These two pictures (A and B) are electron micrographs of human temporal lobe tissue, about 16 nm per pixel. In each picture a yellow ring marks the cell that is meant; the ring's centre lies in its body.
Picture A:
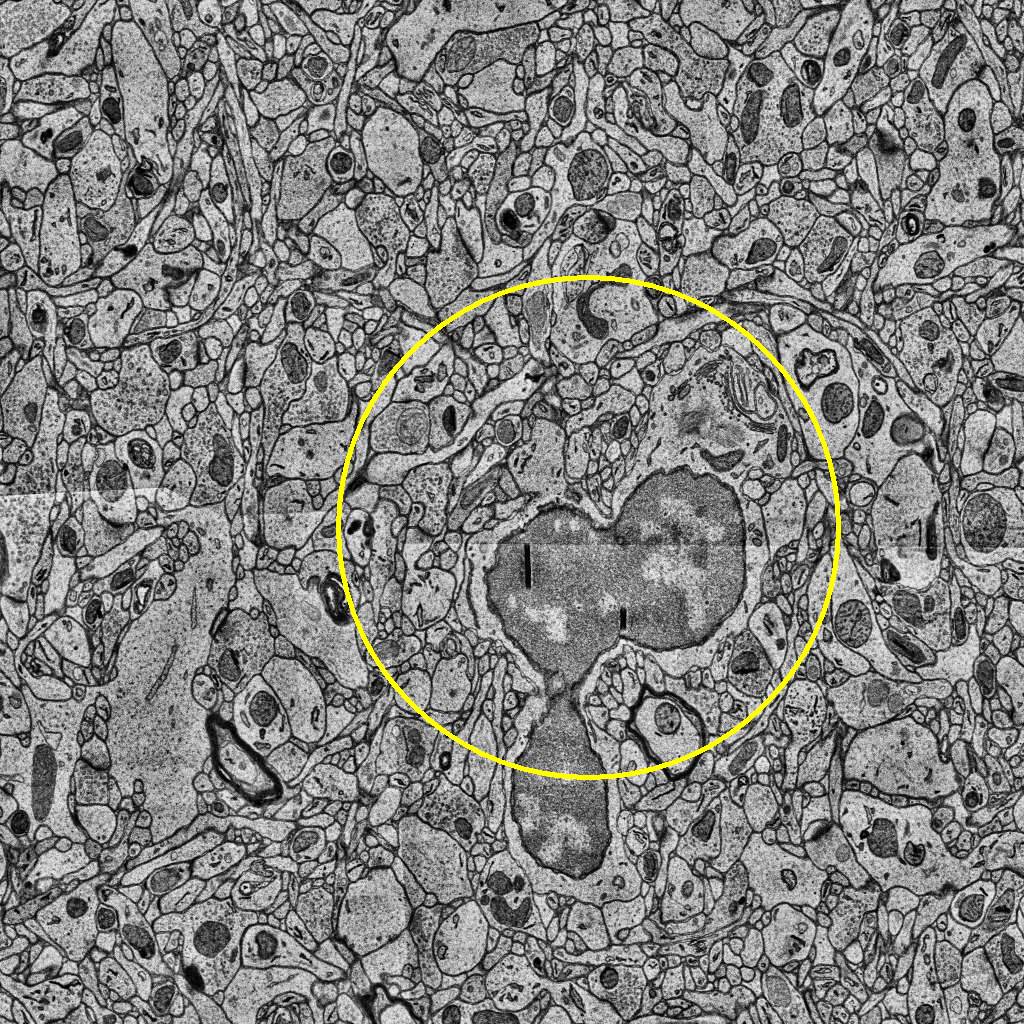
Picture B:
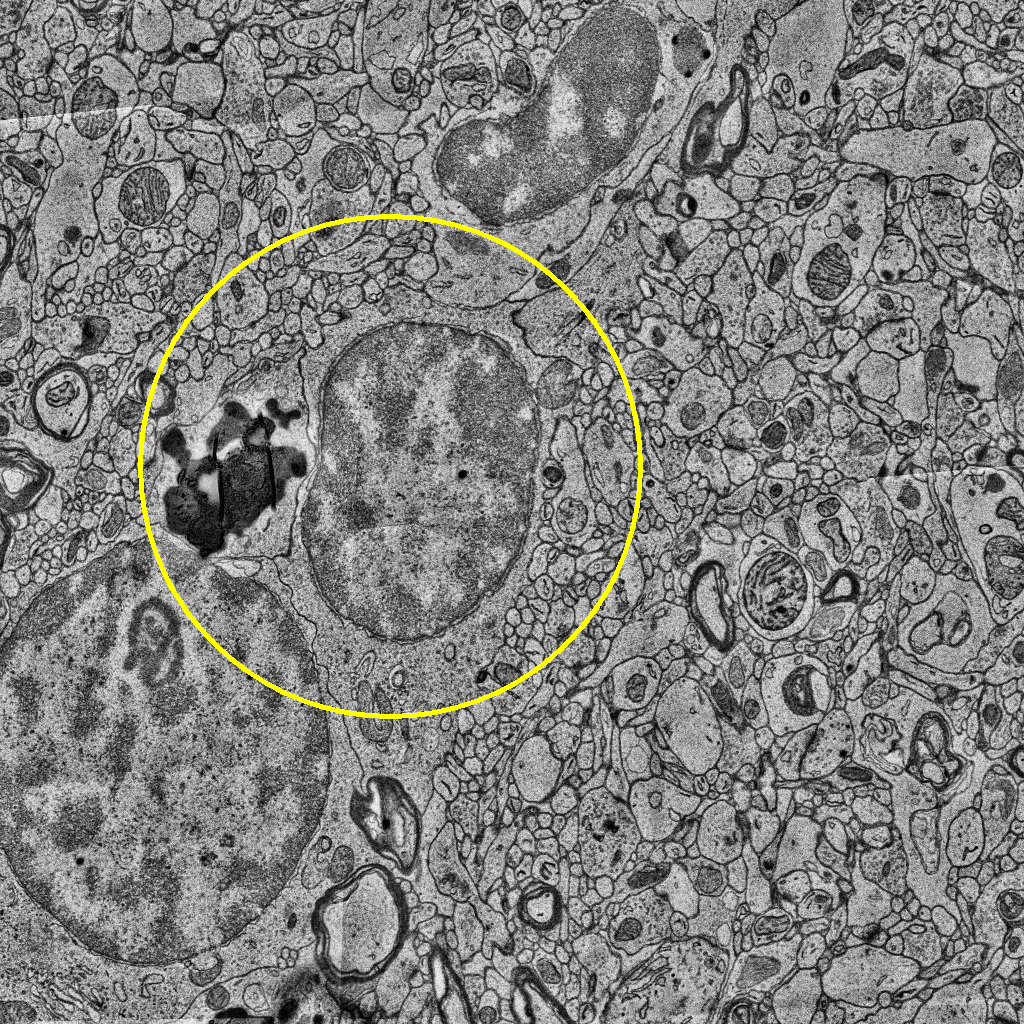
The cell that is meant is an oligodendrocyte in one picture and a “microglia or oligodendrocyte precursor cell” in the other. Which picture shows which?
In picture A the cell is a “microglia or oligodendrocyte precursor cell”; in picture B, an oligodendrocyte.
